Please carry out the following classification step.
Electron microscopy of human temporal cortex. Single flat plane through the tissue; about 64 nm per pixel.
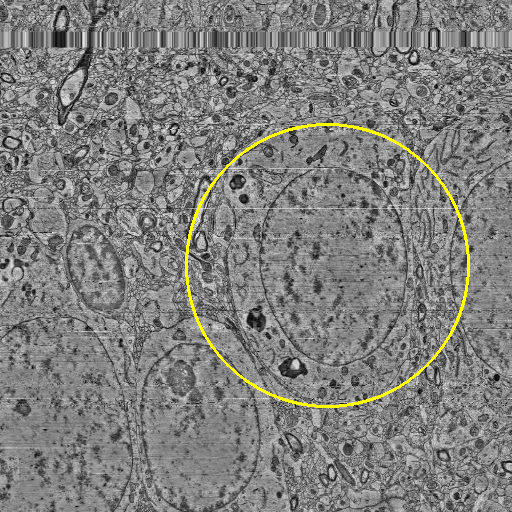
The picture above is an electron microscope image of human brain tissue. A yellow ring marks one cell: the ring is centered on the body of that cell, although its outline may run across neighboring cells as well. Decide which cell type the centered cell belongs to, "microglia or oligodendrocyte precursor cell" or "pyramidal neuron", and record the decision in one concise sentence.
The cell centered in the yellow ring is a pyramidal neuron.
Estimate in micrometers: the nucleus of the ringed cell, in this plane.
The nucleus is approximately 13 micrometers long by 10 micrometers wide in this plane.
